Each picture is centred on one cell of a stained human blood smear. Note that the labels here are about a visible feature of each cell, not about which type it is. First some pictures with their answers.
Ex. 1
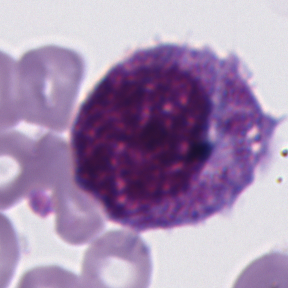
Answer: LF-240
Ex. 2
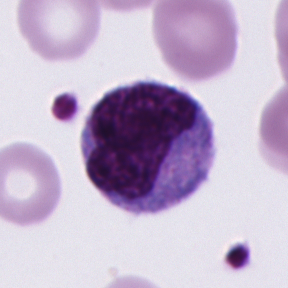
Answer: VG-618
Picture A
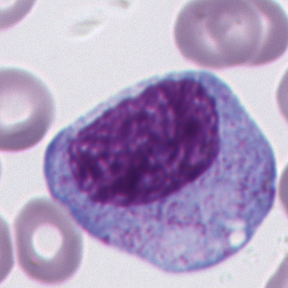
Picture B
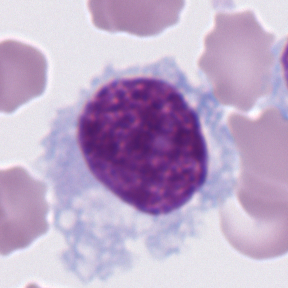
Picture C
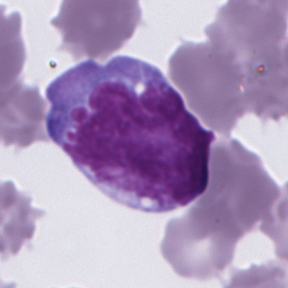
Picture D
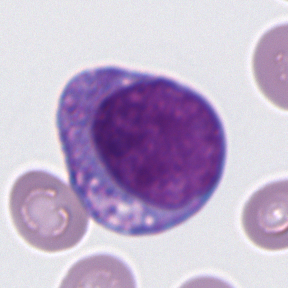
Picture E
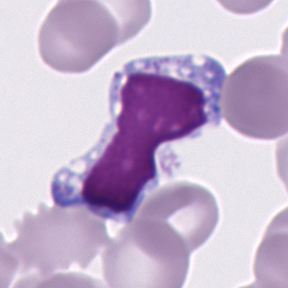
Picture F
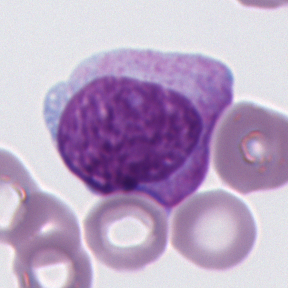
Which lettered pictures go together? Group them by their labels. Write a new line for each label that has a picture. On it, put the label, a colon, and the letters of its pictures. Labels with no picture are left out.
LF-240: A, B, C, D, E
VG-618: F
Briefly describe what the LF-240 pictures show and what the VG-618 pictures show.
LF-240: vacuoles present; VG-618: no vacuoles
